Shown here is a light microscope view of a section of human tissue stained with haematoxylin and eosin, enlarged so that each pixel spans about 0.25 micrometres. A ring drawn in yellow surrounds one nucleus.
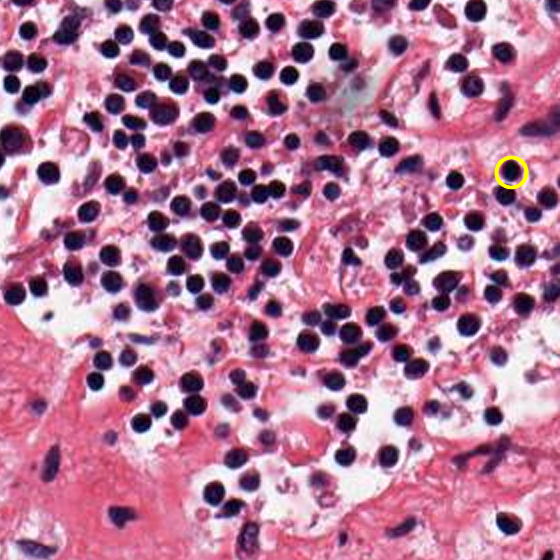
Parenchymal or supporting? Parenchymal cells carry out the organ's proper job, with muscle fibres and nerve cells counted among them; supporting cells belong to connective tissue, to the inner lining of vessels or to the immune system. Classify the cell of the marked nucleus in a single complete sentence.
It is a supporting cell that holds the marked nucleus.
